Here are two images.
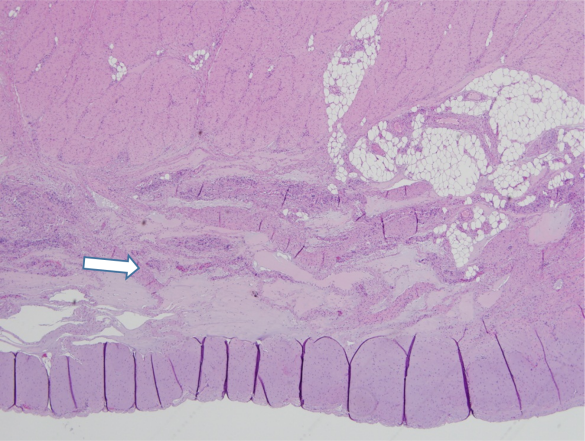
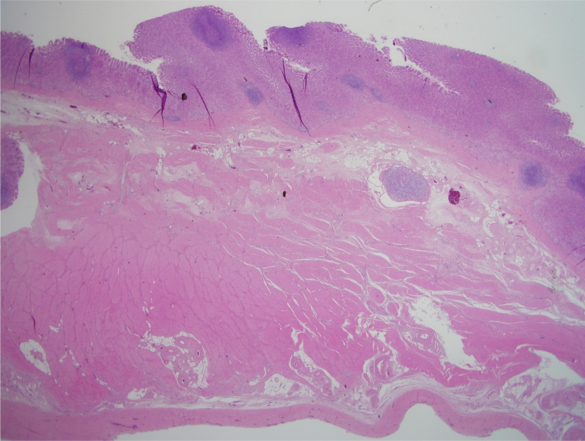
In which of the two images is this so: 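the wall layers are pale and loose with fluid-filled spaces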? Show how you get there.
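First image: a broad band of pale, loose, faintly stained tissue with open spaces runs between the layers.
Conclusion: the first image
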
